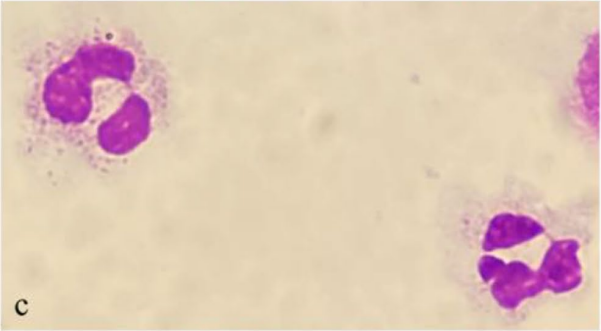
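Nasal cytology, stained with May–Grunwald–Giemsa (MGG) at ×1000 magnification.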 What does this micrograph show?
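Two neutrophils lie apart on a pale background. Each nucleus is divided into several deep purple lobes joined by thin strands, two to three lobes in the upper cell and more in the lower one. The cytoplasm is pale pink with fine granules. The cell borders are faint and slightly irregular.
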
